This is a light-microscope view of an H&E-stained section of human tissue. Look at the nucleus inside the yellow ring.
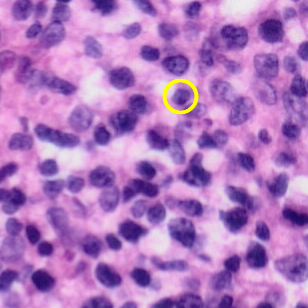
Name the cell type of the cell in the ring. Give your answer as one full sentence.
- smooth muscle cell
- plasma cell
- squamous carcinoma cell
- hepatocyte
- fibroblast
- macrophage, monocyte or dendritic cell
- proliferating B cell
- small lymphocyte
Speaking plainly, the cell in the ring is nothing other than a proliferating B cell.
